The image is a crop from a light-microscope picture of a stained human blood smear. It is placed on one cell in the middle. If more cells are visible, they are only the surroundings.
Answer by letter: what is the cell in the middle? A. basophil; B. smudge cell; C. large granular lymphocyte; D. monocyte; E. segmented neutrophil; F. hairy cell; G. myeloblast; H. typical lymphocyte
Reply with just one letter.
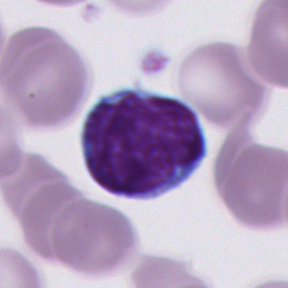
H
